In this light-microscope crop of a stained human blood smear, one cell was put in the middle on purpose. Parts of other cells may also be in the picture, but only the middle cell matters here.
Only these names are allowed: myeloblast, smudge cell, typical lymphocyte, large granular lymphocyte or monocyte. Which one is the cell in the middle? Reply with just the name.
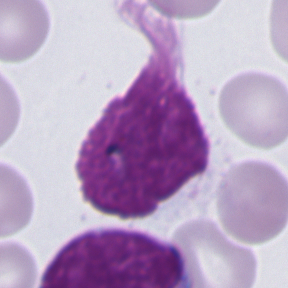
smudge cell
